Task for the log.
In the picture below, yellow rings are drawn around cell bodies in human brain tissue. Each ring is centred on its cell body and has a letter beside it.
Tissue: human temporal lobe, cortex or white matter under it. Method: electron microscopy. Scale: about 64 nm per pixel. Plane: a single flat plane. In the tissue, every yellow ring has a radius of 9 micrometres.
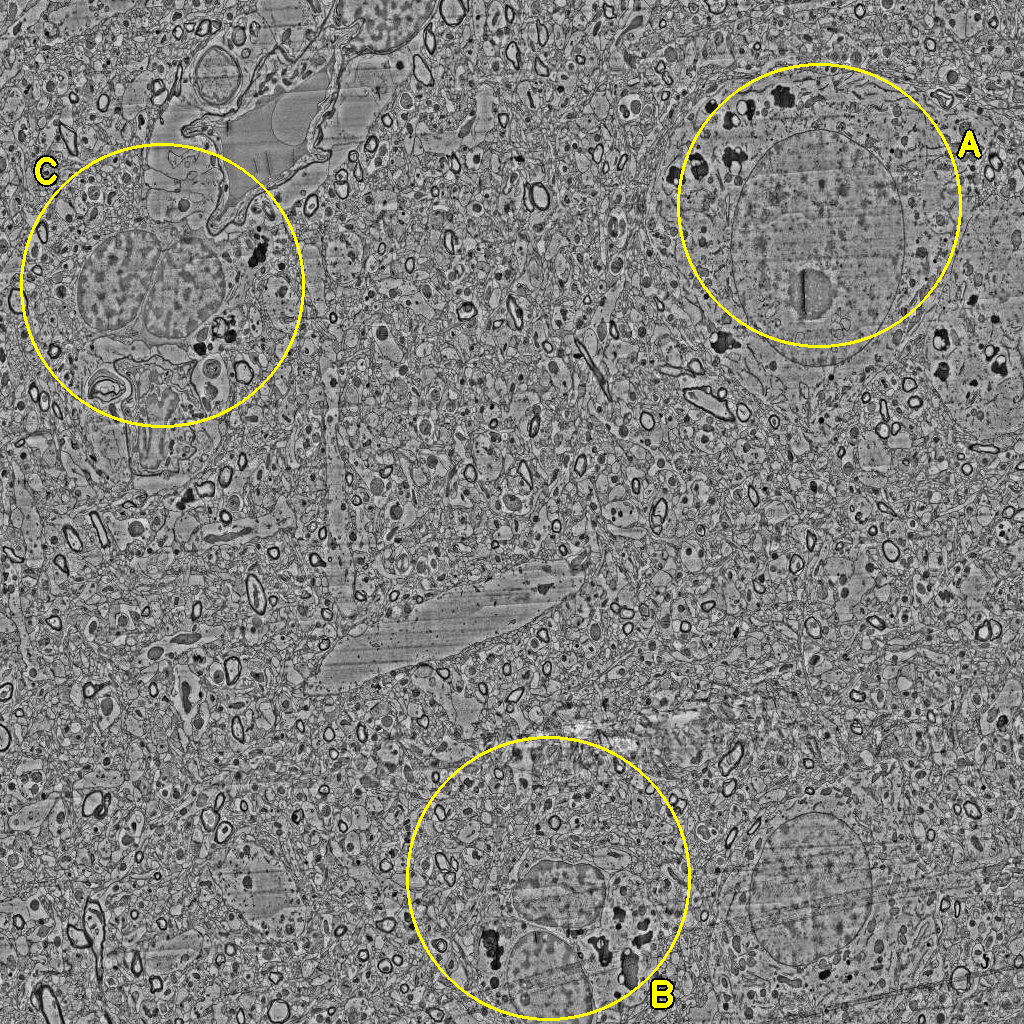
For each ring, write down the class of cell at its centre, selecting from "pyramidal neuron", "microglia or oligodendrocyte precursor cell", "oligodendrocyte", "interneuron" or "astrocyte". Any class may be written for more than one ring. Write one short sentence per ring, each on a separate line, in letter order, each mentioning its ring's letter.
The cell inside ring A, at its centre, is a pyramidal neuron.
The cell inside ring B, at its centre, is a microglial cell or oligodendrocyte precursor cell.
The cell inside ring C, at its centre, is an oligodendrocyte.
